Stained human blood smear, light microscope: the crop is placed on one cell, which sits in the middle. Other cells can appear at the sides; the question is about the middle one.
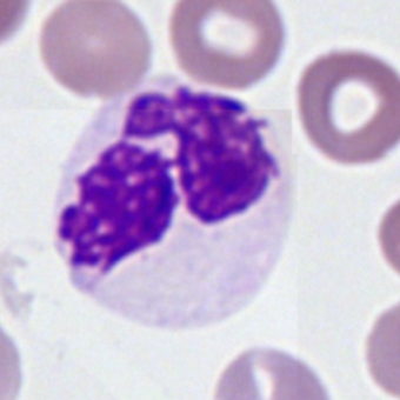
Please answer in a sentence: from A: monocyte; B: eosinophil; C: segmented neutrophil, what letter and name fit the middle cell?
The middle of the crop holds a segmented neutrophil, which points to option C.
